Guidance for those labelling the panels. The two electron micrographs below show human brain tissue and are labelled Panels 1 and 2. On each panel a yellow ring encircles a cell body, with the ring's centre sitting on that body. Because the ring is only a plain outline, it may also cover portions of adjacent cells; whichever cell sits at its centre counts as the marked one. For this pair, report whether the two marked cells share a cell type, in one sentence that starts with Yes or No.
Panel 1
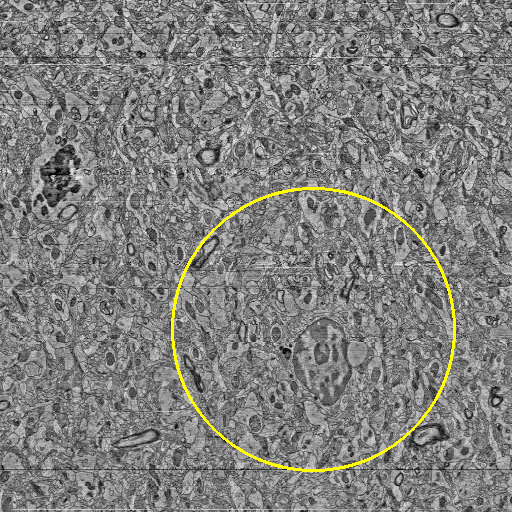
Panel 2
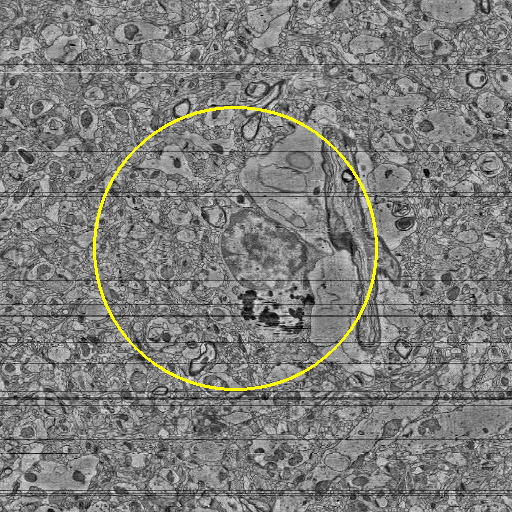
No, in Panel 1 and Panel 2 the marked cells at the ring centres are of two types.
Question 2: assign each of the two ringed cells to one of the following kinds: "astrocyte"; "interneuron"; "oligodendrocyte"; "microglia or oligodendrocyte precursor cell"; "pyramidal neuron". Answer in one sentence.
The two cells are a microglial cell or oligodendrocyte precursor cell in the first picture and an oligodendrocyte in the second.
